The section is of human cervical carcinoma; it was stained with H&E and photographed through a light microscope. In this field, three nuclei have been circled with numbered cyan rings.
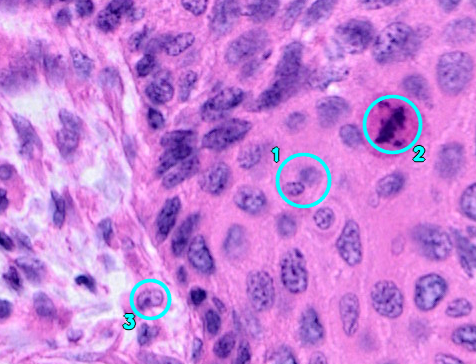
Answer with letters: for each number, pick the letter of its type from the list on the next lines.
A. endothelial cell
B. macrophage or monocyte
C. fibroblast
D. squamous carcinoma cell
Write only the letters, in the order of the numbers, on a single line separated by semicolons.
D; D; B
